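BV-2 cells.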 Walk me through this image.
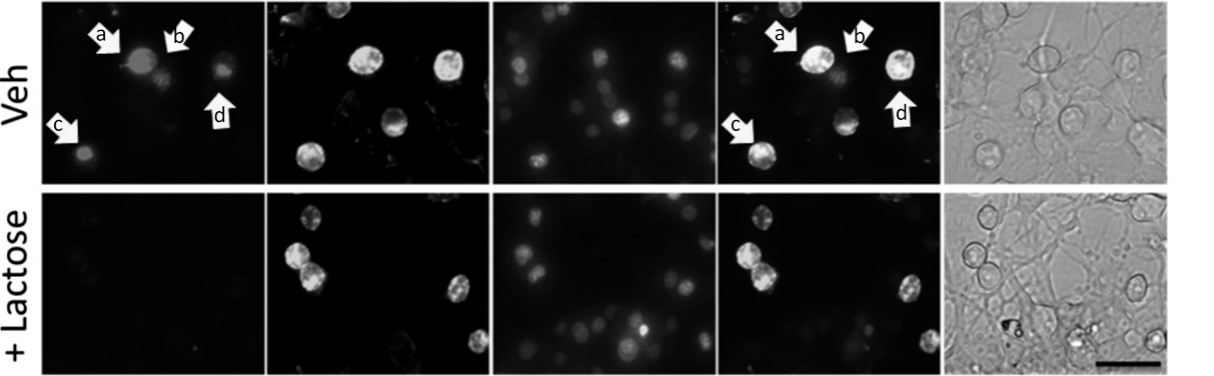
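This is a mixed culture of two kinds of cells, seen in grey tones channel by channel. The nuclear channel shows many more small round nuclei than there are bright rounded cells, since the other cells lie all around them. In bright field the rounded cells appear as outlined, refractile bodies sitting on a flatter layer of cells whose thin processes run between them. In the upper row the first column lights up several of the rounded cells, while in the lower row that column is nearly dark.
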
